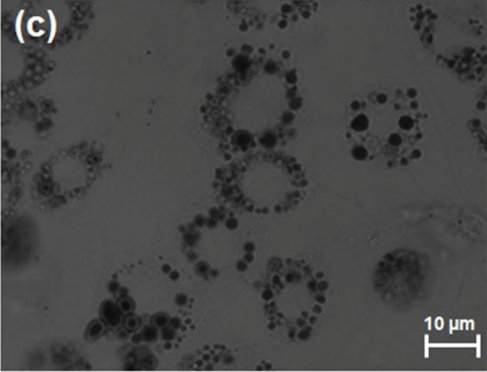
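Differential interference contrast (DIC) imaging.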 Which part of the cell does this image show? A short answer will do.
lipid vesicles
